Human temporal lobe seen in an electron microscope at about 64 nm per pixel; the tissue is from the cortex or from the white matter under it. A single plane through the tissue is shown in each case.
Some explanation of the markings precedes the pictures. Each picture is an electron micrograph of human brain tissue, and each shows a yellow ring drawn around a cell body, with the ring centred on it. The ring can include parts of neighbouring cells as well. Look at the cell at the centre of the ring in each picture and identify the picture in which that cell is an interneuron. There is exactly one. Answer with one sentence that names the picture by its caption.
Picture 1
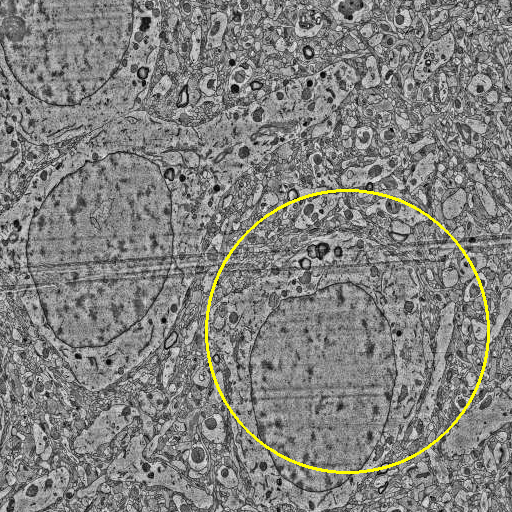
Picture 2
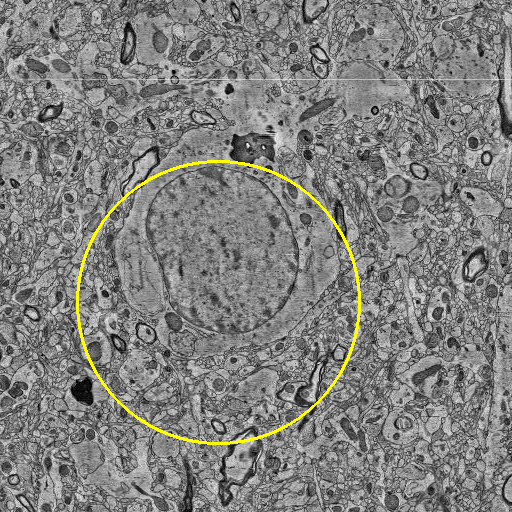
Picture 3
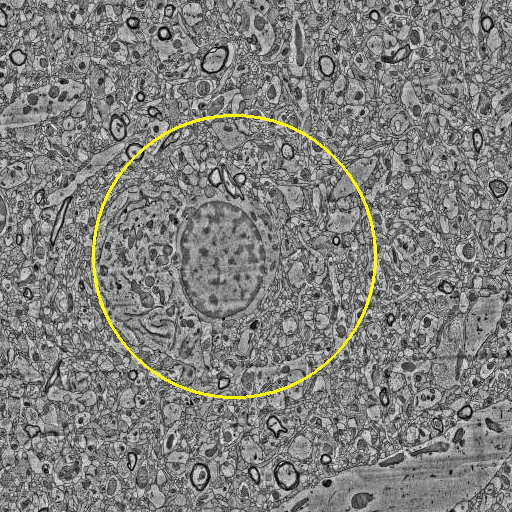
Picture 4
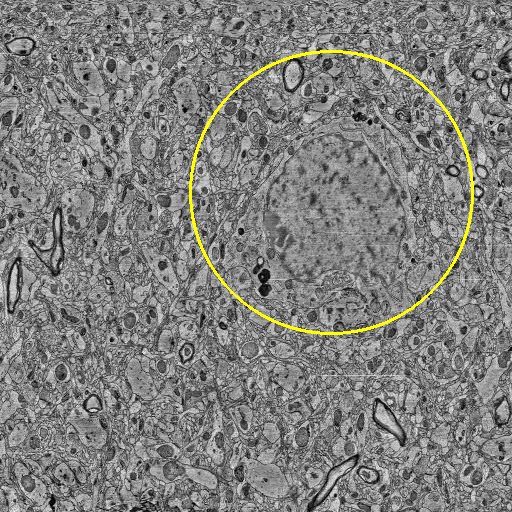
In Picture 4, the cell at the centre of the ring is of that kind.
